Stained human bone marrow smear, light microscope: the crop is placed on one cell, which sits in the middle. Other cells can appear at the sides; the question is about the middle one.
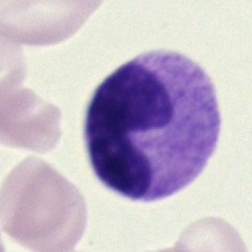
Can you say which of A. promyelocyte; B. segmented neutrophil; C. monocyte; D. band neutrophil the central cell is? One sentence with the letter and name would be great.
That middle cell is a band neutrophil, and option D is therefore correct.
